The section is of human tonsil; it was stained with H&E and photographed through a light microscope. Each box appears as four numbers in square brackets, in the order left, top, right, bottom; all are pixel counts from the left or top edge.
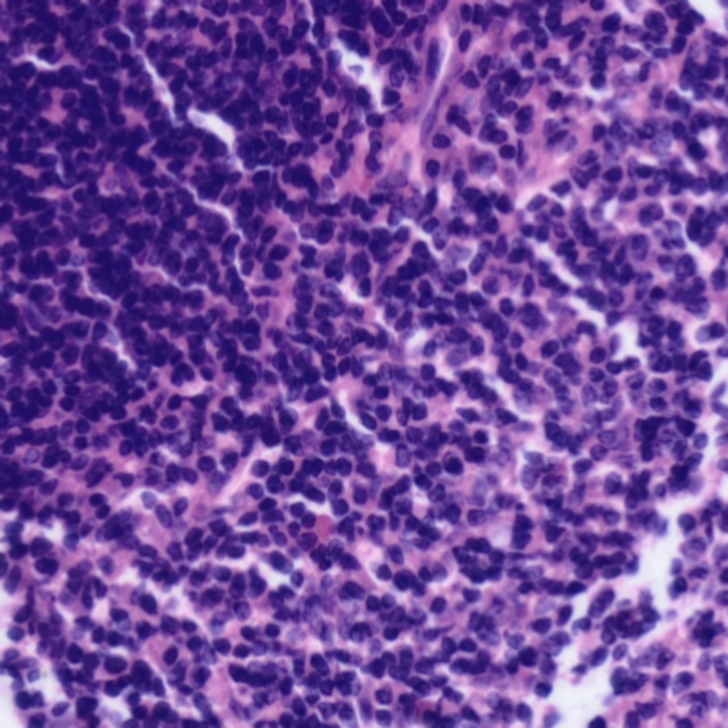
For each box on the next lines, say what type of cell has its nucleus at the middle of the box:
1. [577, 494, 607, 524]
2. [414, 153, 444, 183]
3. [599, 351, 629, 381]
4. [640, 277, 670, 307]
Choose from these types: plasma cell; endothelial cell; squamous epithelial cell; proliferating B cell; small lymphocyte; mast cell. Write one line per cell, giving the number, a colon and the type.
1: small lymphocyte
2: plasma cell
3: small lymphocyte
4: small lymphocyte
